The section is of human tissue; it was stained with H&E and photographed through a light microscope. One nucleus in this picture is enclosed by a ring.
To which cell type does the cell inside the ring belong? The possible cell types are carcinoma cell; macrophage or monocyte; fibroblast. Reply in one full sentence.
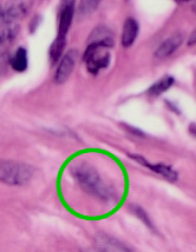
Speaking plainly, the cell inside the ring is nothing other than a fibroblast.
